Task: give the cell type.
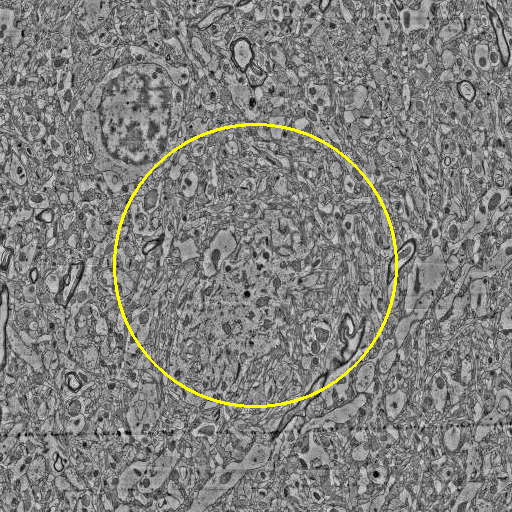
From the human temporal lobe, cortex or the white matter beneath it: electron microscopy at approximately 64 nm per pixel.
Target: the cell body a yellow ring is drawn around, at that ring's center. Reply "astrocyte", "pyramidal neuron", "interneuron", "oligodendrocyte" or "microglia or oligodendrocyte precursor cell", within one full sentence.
In this picture, the cell whose body lies at the ring's center is a pyramidal neuron.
